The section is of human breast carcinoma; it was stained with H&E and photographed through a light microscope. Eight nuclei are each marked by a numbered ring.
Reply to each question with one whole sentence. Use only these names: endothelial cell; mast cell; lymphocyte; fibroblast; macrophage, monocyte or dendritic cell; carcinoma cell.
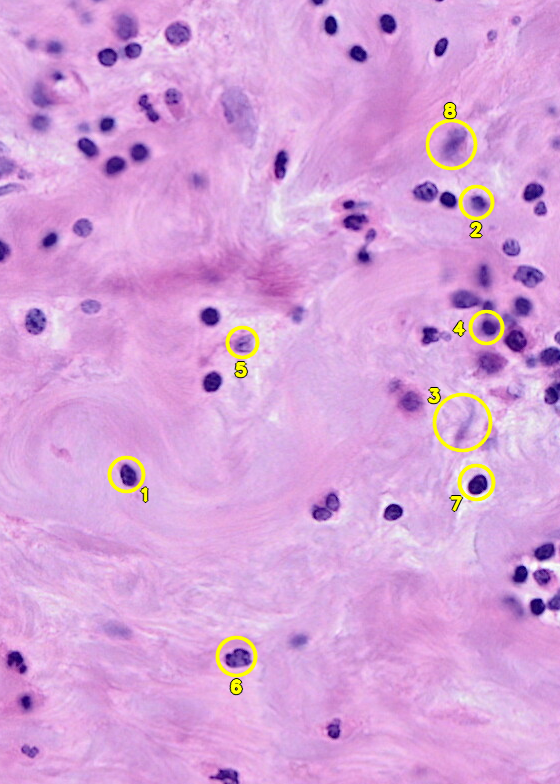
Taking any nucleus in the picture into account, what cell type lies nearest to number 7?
Closest to number 7 lies the nucleus of a macrophage, monocyte or dendritic cell.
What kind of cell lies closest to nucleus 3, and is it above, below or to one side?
Just below and to the right of nucleus 3 lies the nearest nucleus, which belongs to a macrophage, monocyte or dendritic cell.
